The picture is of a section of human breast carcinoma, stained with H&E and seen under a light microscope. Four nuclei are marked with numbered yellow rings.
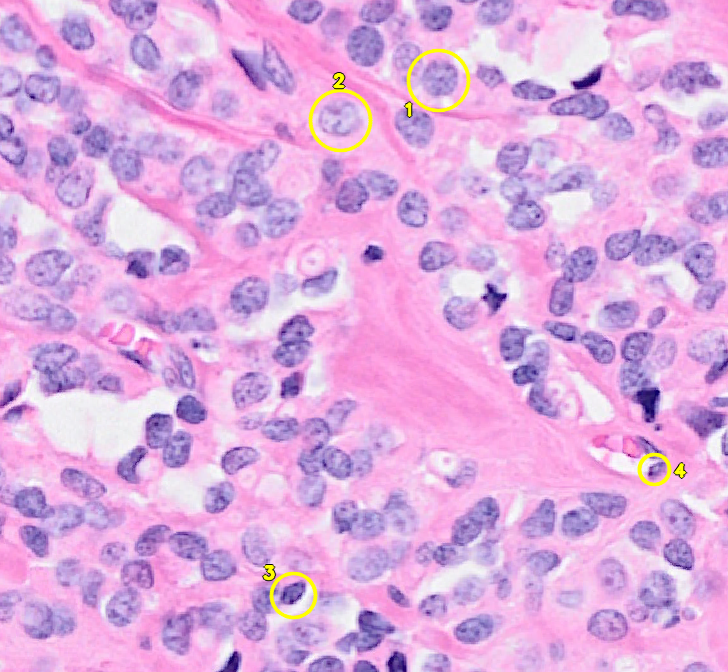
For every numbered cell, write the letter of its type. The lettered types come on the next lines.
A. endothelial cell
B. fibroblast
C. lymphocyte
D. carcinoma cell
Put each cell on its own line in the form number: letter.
1: D
2: D
3: C
4: A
